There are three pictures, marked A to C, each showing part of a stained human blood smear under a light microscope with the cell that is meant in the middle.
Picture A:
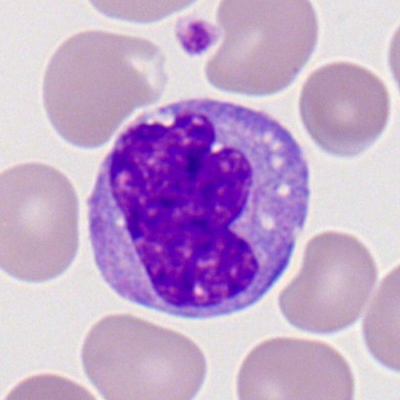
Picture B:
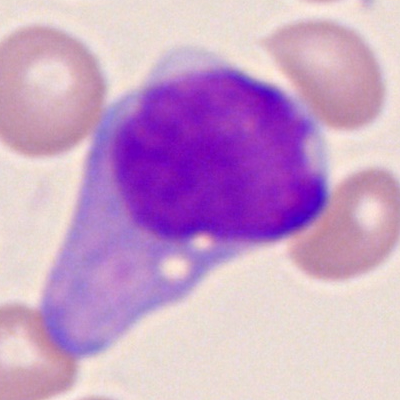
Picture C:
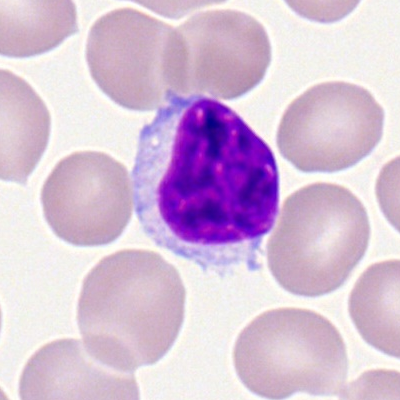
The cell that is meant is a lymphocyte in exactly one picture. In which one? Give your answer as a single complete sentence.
It is picture C that shows the lymphocyte.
